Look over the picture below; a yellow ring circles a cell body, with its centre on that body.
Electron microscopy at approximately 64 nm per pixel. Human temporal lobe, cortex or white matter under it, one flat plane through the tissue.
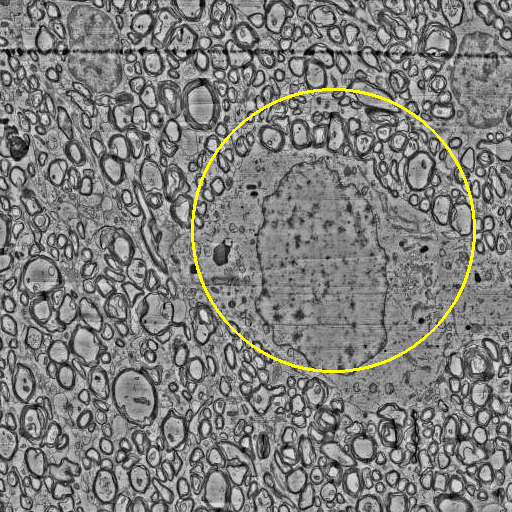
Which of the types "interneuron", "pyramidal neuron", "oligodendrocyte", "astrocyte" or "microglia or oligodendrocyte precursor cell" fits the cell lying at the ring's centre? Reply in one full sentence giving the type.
The picture shows a pyramidal neuron at the centre of the yellow ring.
